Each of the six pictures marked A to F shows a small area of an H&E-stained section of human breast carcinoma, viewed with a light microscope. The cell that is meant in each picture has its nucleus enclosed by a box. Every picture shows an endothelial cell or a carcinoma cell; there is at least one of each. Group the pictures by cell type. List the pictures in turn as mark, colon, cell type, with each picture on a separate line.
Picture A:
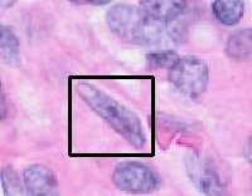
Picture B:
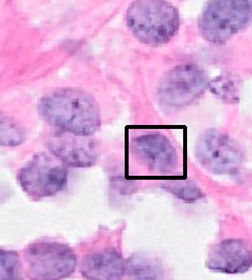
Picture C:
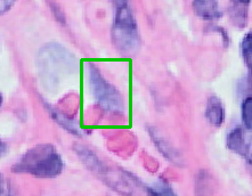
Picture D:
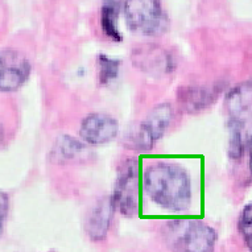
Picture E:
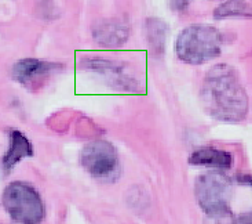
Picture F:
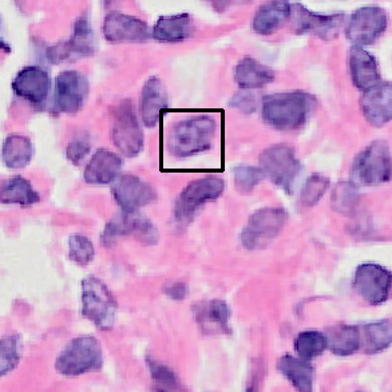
A: endothelial cell
B: carcinoma cell
C: endothelial cell
D: carcinoma cell
E: endothelial cell
F: carcinoma cell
